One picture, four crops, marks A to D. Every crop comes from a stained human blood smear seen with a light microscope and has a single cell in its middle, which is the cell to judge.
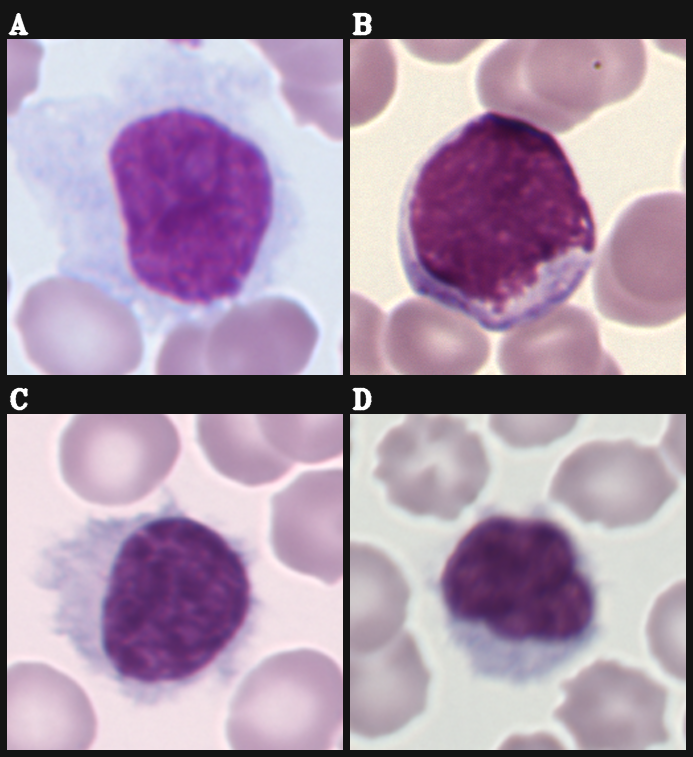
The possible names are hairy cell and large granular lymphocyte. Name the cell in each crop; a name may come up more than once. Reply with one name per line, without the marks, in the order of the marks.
hairy cell
large granular lymphocyte
hairy cell
hairy cell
